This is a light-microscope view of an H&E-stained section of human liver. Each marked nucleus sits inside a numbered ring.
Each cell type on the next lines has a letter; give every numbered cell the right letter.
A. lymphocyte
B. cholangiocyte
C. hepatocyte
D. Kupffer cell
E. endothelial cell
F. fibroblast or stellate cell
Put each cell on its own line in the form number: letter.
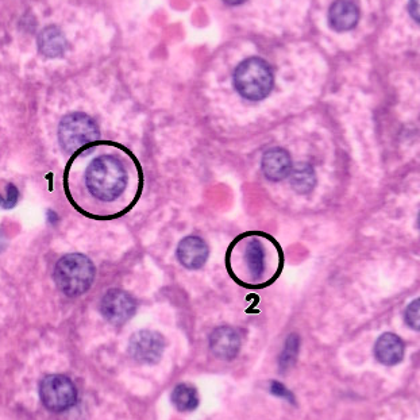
1: C
2: F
